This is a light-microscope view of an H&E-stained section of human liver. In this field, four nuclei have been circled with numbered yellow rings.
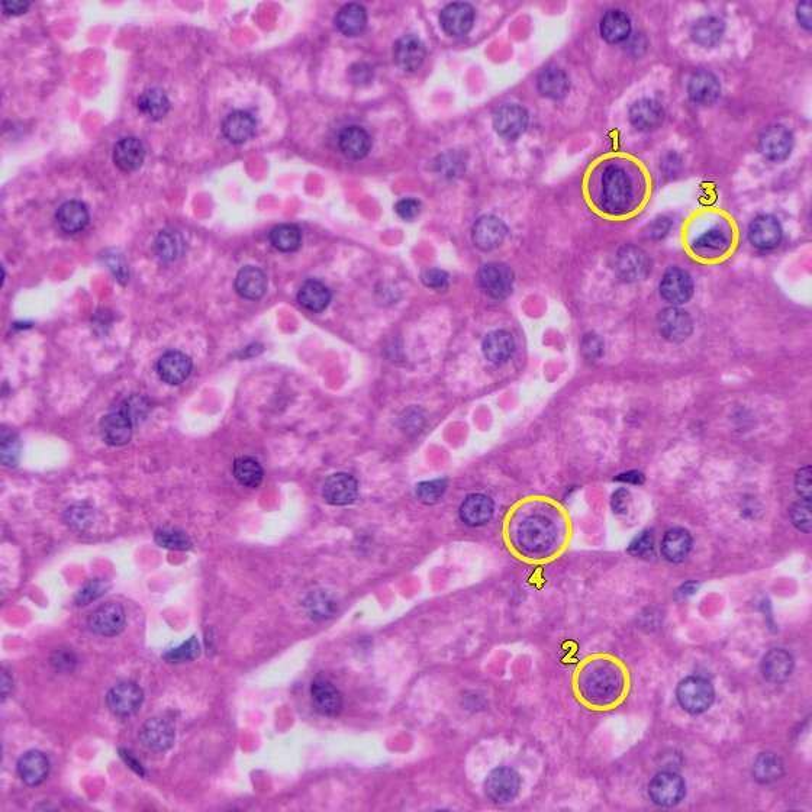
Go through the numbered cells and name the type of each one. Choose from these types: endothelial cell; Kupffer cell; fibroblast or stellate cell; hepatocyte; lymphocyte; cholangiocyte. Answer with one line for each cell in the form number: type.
1: hepatocyte
2: hepatocyte
3: endothelial cell
4: hepatocyte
